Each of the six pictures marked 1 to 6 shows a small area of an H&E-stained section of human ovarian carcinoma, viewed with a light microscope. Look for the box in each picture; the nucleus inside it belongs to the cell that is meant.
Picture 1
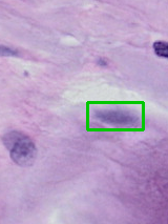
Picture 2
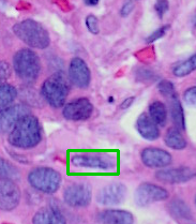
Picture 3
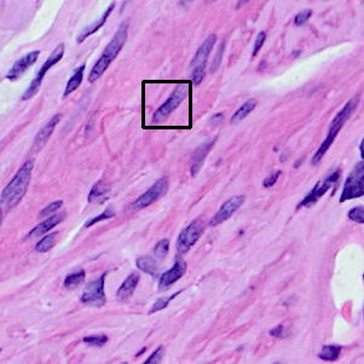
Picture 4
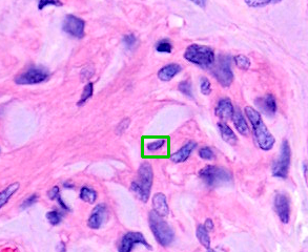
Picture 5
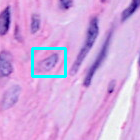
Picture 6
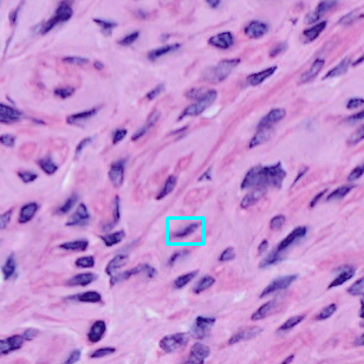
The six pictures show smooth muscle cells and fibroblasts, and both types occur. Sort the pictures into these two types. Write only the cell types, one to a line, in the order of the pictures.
fibroblast
fibroblast
smooth muscle cell
smooth muscle cell
smooth muscle cell
smooth muscle cell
